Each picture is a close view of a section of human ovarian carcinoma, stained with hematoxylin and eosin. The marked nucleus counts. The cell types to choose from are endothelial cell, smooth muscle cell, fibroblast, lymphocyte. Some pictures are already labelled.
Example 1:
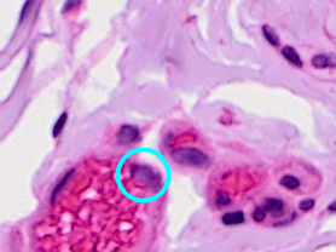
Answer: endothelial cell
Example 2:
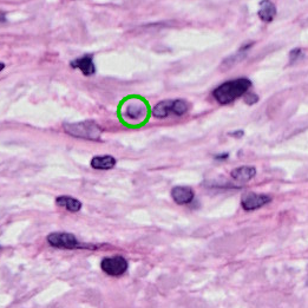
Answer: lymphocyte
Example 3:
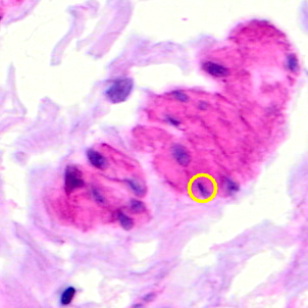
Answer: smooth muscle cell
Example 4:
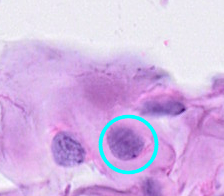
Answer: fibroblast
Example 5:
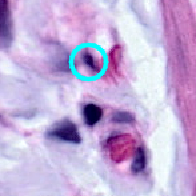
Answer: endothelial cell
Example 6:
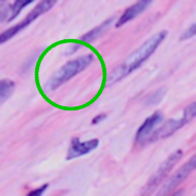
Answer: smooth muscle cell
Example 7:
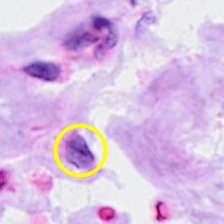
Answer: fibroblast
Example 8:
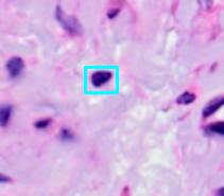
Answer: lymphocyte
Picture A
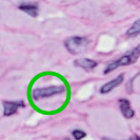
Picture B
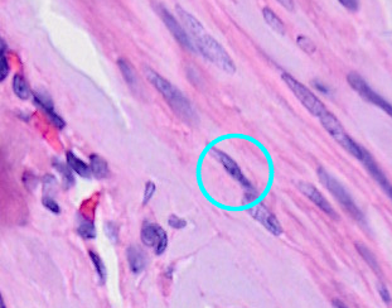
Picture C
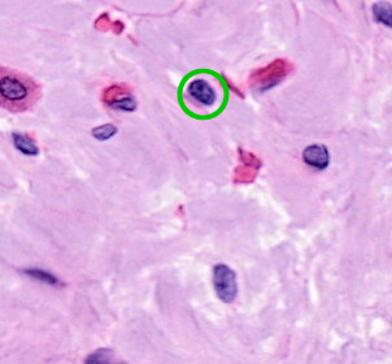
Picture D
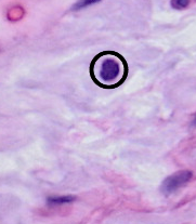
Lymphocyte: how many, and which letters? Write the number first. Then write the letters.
2: C, D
